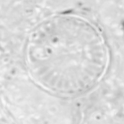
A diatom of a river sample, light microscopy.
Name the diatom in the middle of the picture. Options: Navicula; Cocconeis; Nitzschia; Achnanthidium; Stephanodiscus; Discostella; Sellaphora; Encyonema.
Stephanodiscus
